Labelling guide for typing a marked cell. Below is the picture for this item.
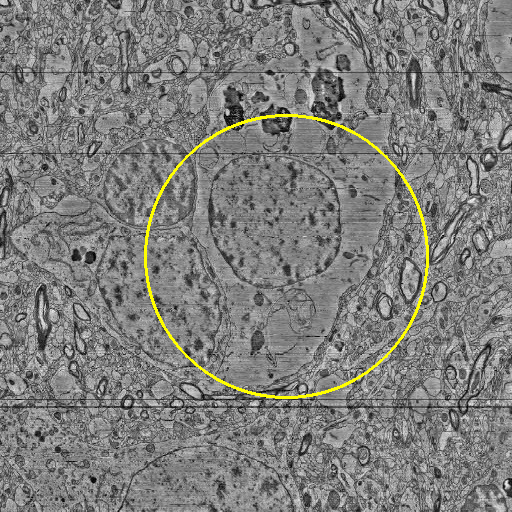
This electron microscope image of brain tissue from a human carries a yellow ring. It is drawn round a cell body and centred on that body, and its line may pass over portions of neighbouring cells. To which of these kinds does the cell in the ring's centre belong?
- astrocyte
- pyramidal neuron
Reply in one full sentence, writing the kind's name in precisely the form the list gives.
Here we have an astrocyte at the centre of the yellow ring in the picture.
